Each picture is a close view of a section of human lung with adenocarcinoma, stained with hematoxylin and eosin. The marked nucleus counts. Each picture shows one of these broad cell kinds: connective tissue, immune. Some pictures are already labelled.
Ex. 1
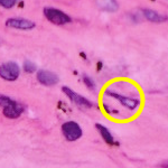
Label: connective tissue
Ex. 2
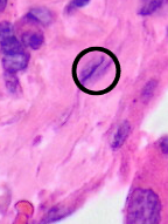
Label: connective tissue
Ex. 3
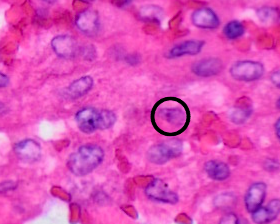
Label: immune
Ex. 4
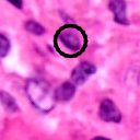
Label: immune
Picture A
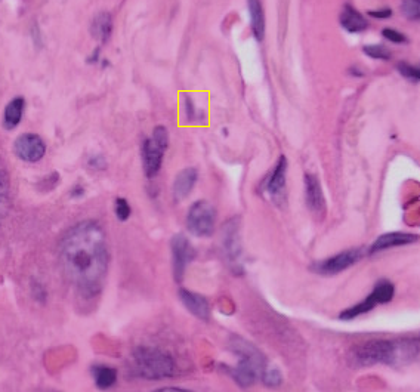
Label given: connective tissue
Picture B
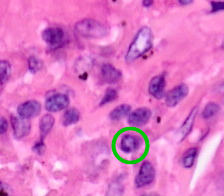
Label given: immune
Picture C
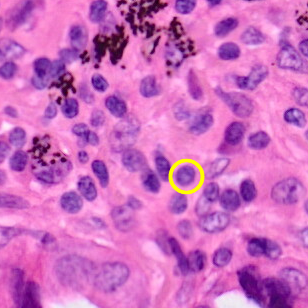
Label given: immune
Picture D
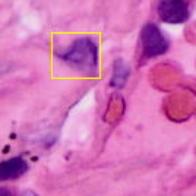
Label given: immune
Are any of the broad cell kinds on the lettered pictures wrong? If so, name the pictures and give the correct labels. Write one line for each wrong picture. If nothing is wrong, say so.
D: change immune to connective tissue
